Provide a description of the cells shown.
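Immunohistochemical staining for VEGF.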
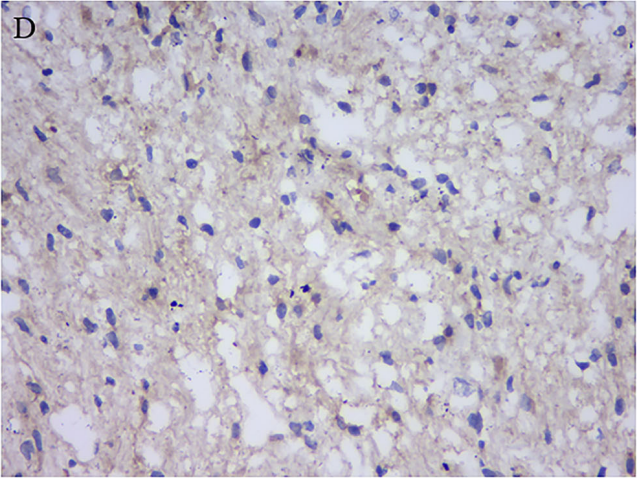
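Tissue at higher magnification shows scattered cells with oval to elongated blue nuclei. Faint brown granular staining lies in the cytoplasm of some cells and in the fibrillary background. The background is loose and contains many clear rounded spaces of varying size. Nuclei are fairly evenly spaced without a distinct layered arrangement.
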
